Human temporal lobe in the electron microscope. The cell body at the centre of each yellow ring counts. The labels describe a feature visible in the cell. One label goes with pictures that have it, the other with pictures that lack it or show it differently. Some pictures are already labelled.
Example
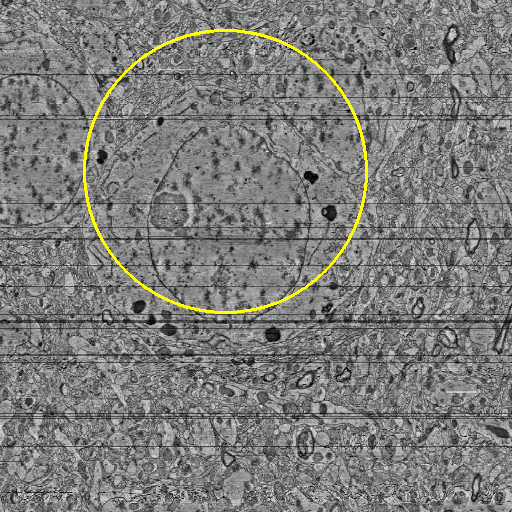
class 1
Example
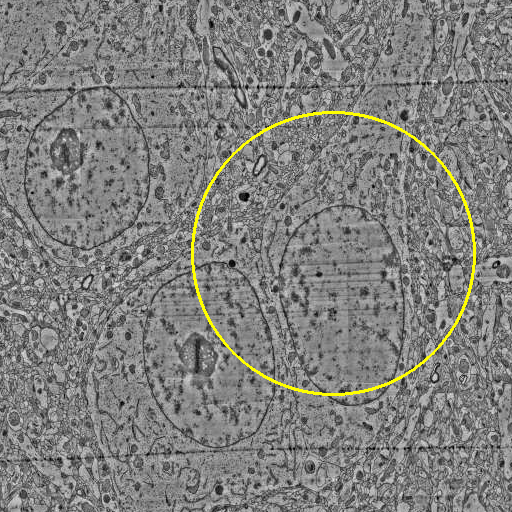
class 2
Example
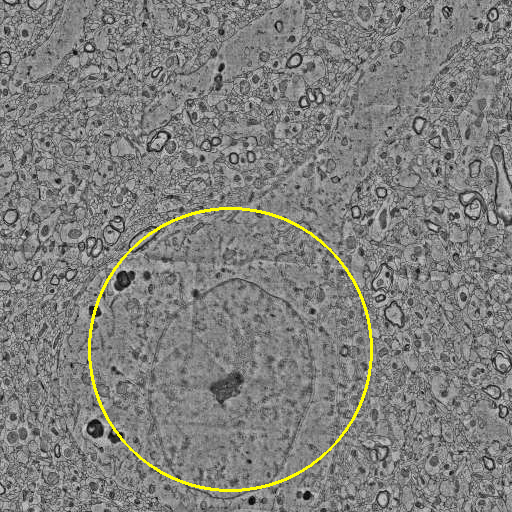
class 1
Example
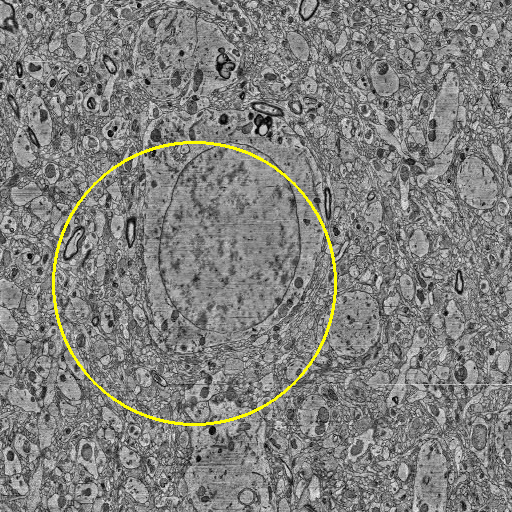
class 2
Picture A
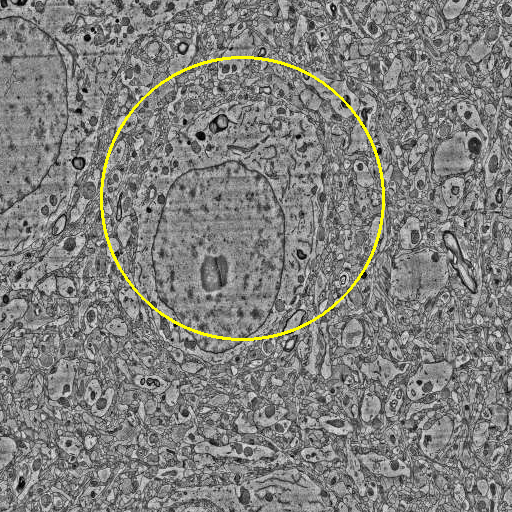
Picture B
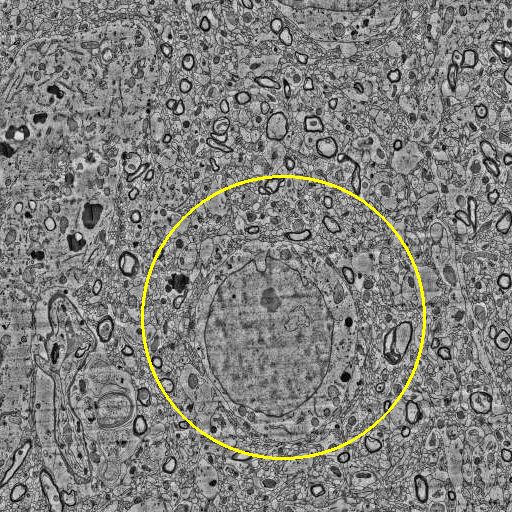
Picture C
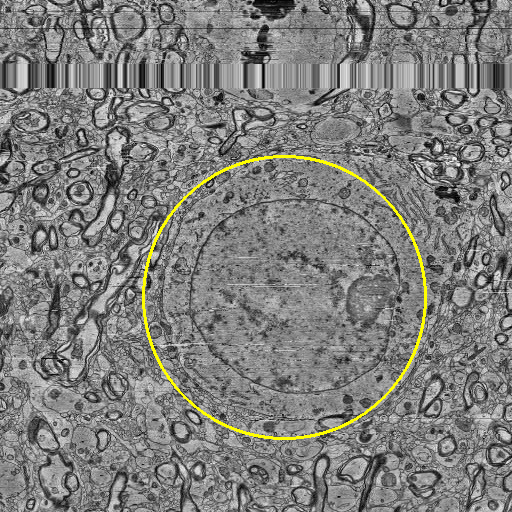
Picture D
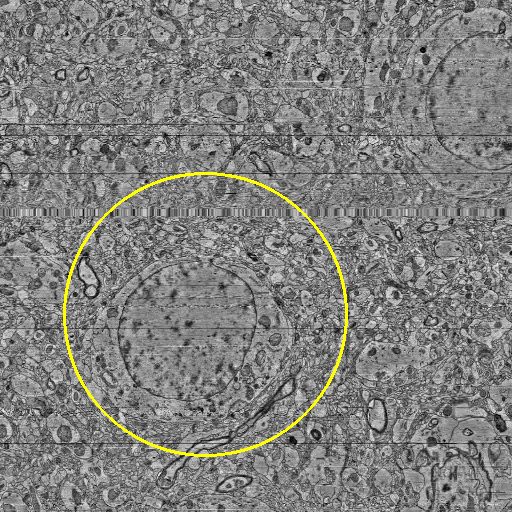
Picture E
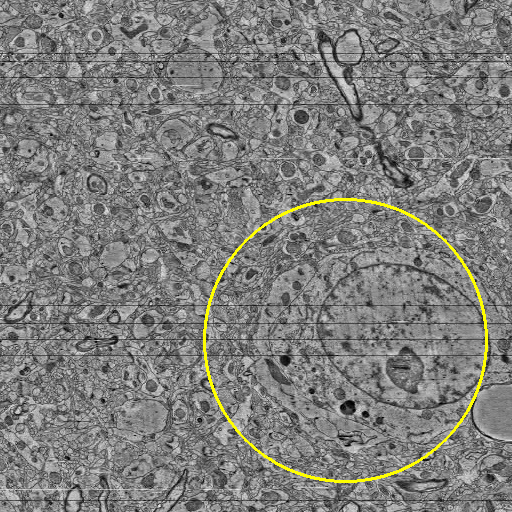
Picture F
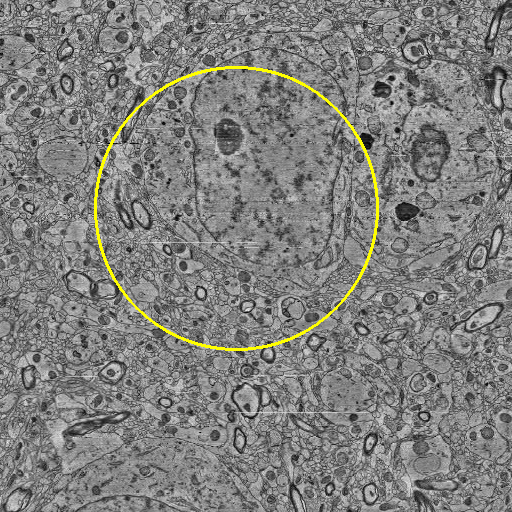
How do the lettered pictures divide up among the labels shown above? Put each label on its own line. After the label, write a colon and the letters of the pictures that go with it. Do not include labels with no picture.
class 1: A, B, C, E, F
class 2: D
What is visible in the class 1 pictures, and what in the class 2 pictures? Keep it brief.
Seen in class 1: nucleolus seen; seen in class 2: no nucleolus seen.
